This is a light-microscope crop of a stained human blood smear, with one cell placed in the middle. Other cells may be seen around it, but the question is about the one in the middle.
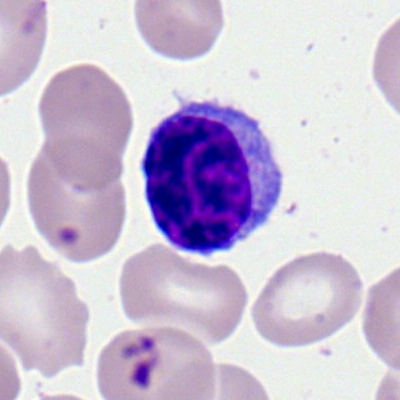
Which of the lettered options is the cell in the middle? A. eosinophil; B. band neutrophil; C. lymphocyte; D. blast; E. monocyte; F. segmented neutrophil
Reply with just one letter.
C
